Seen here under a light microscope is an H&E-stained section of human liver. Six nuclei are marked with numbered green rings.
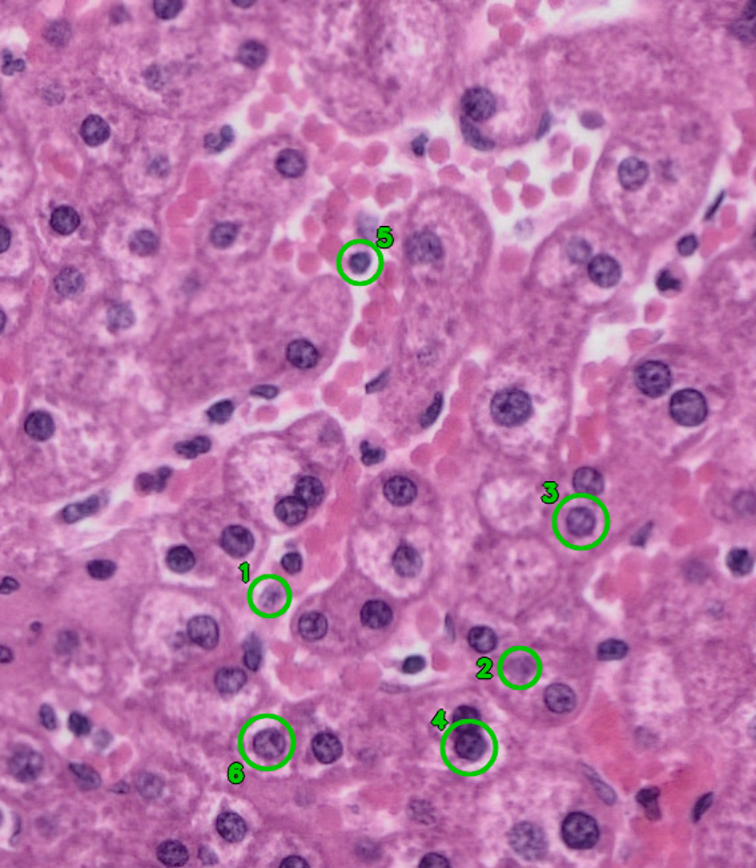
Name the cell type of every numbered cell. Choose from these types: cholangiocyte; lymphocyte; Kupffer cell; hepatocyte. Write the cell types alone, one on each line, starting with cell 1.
Kupffer cell
hepatocyte
hepatocyte
hepatocyte
lymphocyte
hepatocyte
